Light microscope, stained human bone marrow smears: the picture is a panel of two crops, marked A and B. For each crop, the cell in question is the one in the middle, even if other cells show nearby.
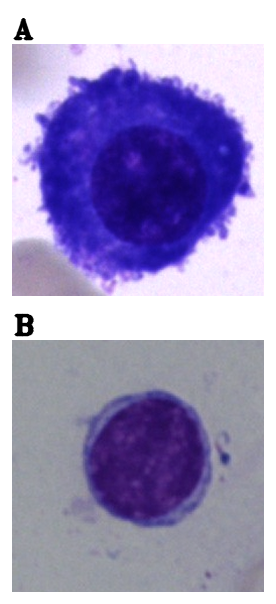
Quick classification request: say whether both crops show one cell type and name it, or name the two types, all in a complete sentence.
No, crop A corresponds to a plasma cell, while crop B corresponds to a lymphocyte.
